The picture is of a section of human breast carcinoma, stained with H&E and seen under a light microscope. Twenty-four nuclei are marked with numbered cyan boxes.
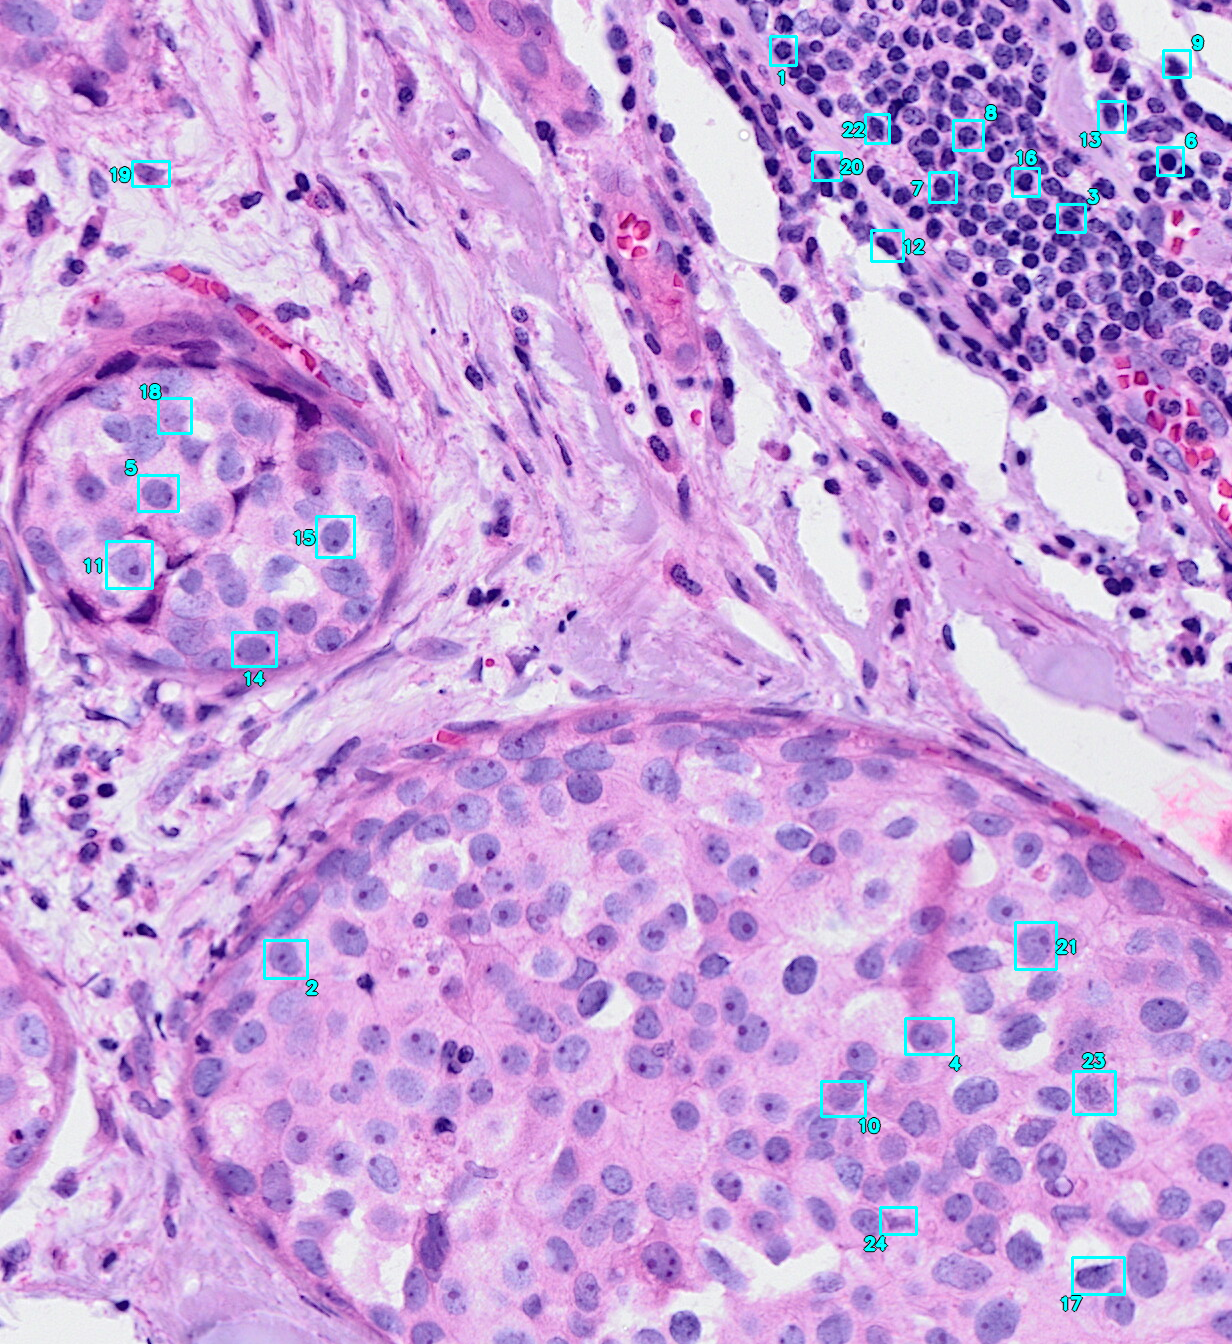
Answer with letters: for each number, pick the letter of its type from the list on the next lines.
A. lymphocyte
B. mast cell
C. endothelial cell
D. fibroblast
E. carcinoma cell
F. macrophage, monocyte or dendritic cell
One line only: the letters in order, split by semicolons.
A; E; A; E; E; A; A; A; A; E; E; A; A; E; E; A; E; E; F; A; E; A; E; E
